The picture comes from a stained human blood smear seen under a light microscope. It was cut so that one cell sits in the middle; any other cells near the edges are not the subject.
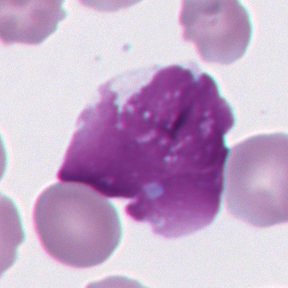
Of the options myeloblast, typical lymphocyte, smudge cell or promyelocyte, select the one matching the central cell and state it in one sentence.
The cell featured at the centre of this crop is a smudge cell.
